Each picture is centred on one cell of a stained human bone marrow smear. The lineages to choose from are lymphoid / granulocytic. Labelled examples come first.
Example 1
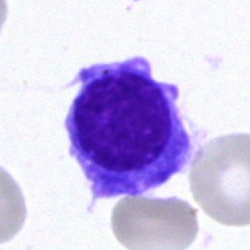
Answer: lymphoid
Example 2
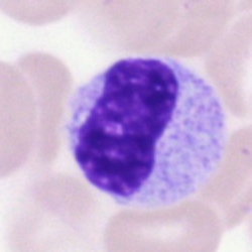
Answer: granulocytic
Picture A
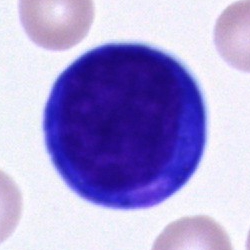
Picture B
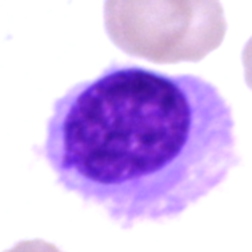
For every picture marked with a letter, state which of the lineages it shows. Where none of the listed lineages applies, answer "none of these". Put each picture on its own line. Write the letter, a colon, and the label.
A: none of these
B: lymphoid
